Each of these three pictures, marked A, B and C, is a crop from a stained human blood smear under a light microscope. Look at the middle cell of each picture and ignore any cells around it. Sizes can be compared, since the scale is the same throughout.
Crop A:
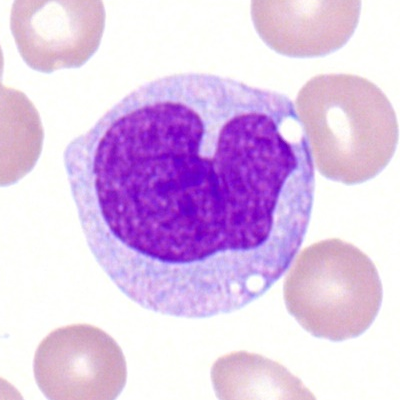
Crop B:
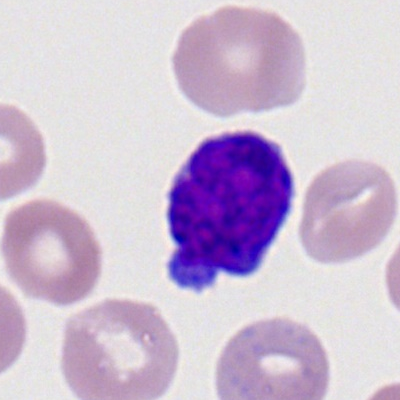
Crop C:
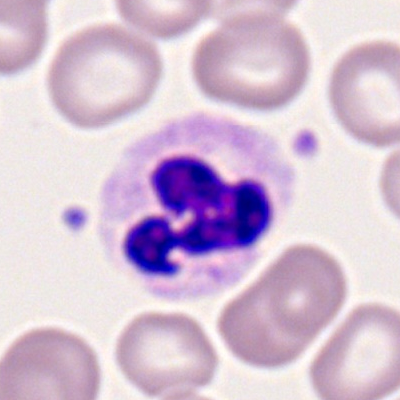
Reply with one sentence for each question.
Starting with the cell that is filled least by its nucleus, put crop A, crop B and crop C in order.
The least filled comes first: C, A, B.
